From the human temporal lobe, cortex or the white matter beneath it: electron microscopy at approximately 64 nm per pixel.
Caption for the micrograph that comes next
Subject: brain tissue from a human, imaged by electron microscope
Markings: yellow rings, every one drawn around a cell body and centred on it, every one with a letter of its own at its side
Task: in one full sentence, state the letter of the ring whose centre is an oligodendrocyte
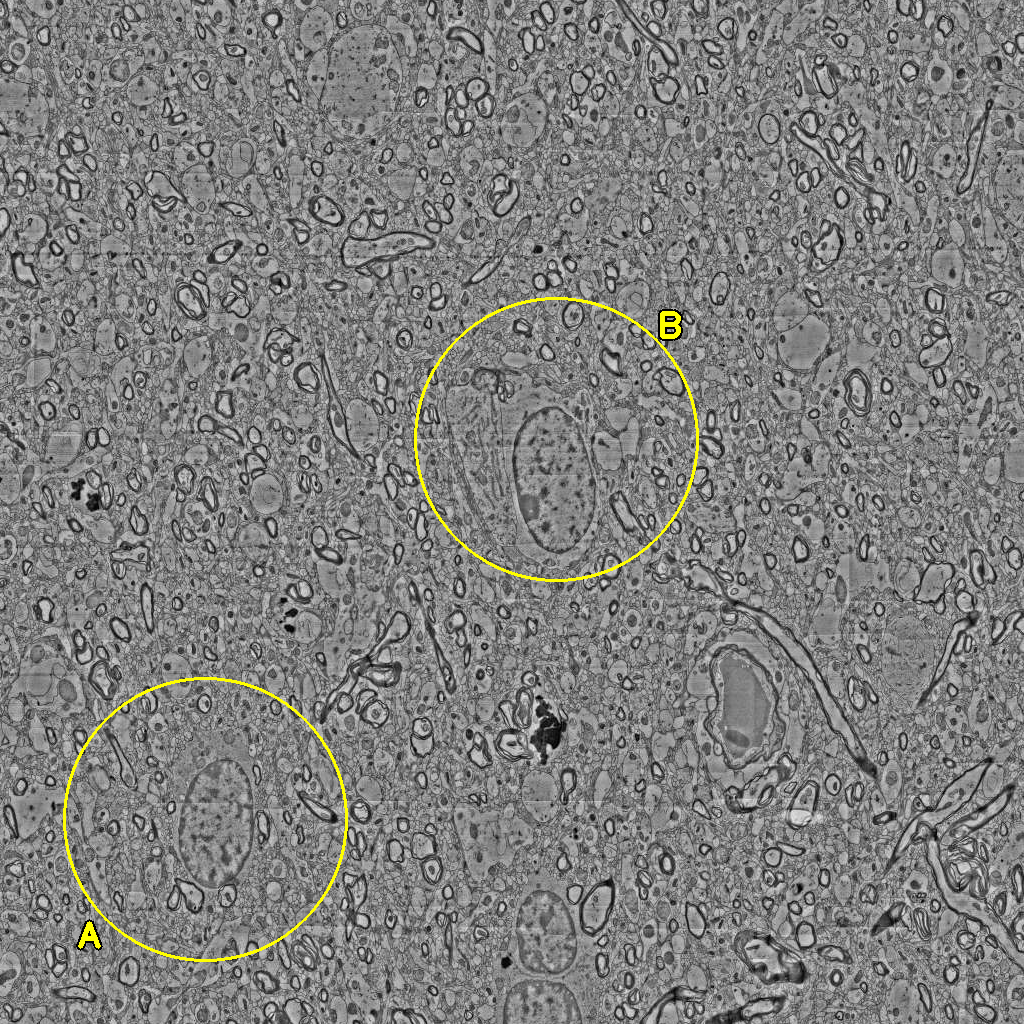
The ring centred on the cell asked for in this micrograph carries the letter A.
